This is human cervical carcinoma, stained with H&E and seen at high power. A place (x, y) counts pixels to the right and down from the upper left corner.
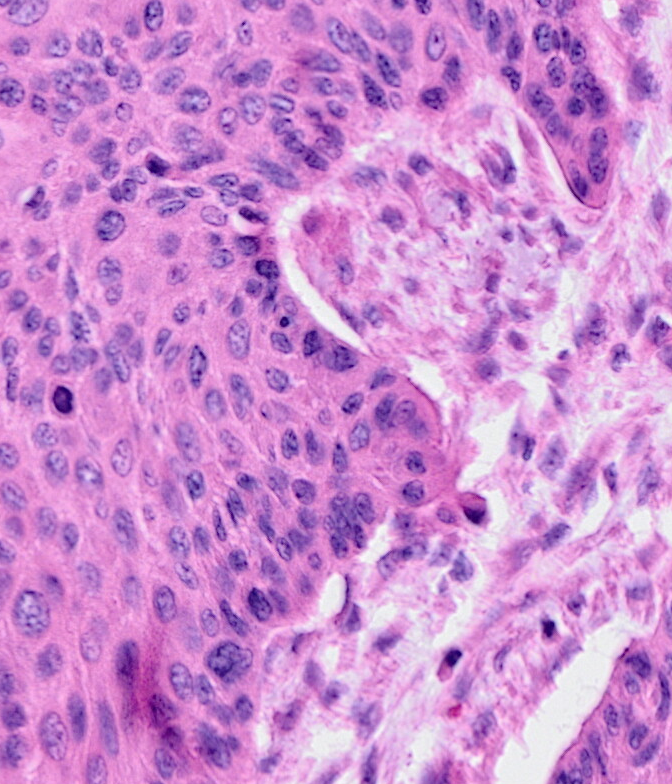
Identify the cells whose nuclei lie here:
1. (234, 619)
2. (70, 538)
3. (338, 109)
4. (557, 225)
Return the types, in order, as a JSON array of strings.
["squamous carcinoma cell", "squamous carcinoma cell", "squamous carcinoma cell", "fibroblast"]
